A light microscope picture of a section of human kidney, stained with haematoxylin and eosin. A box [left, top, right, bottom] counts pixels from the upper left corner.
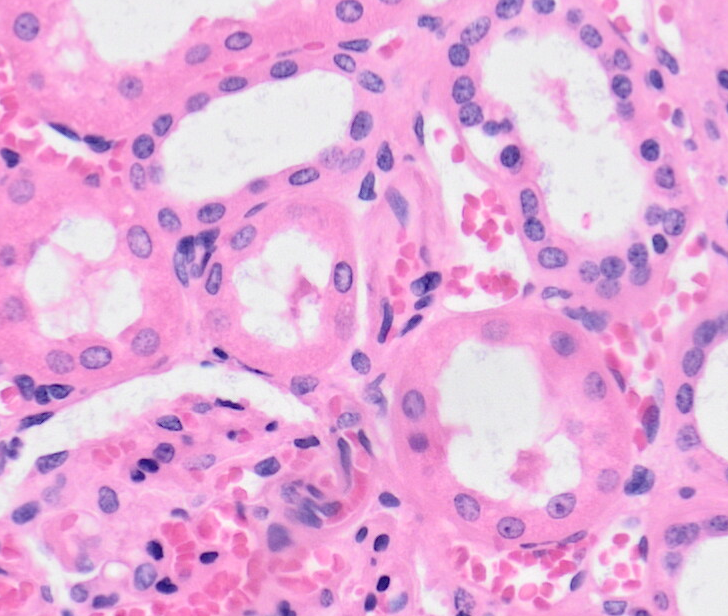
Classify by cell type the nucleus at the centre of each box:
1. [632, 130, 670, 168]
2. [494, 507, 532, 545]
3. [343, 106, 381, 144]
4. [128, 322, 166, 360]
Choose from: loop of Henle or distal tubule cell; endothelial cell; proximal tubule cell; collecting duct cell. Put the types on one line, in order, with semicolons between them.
collecting duct cell; proximal tubule cell; collecting duct cell; proximal tubule cell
